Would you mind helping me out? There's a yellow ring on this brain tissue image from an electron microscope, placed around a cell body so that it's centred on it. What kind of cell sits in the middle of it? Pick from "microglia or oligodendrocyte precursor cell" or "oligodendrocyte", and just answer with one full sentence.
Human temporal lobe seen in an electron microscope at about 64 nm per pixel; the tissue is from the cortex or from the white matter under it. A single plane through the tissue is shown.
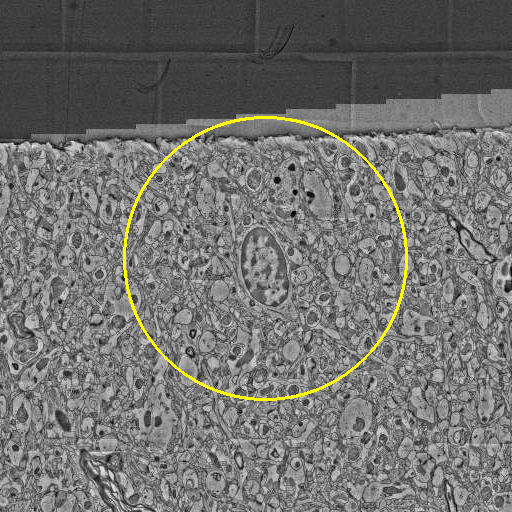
What sits in the middle of that yellow ring is a microglial cell or oligodendrocyte precursor cell, from your choices.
